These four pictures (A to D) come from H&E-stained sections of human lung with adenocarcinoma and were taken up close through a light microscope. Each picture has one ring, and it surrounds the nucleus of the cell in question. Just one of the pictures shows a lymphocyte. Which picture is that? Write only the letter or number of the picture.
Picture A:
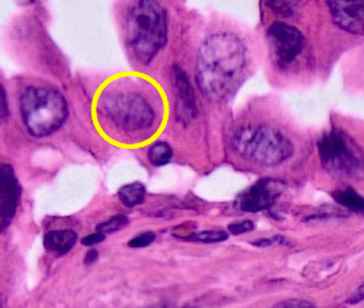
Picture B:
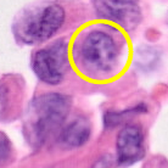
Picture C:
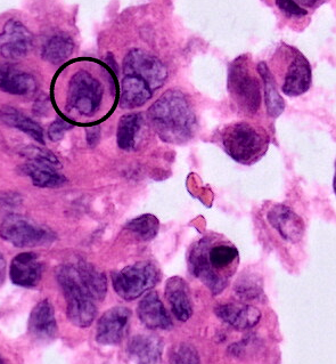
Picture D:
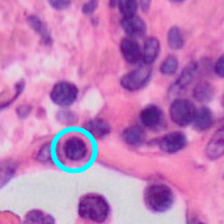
D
